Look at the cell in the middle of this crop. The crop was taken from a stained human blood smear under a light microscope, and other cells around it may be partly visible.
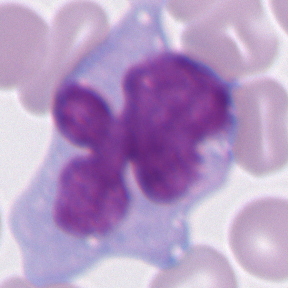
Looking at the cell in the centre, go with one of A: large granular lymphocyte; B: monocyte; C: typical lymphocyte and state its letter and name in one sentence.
The one cell at the centre is a monocyte, as correctly stated in option B.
